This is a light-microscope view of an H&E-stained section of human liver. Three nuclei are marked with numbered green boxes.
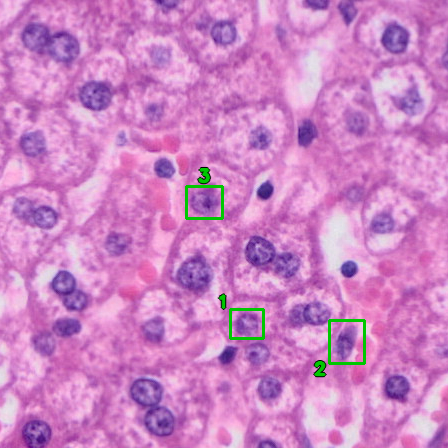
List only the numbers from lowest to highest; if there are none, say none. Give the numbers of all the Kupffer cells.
2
